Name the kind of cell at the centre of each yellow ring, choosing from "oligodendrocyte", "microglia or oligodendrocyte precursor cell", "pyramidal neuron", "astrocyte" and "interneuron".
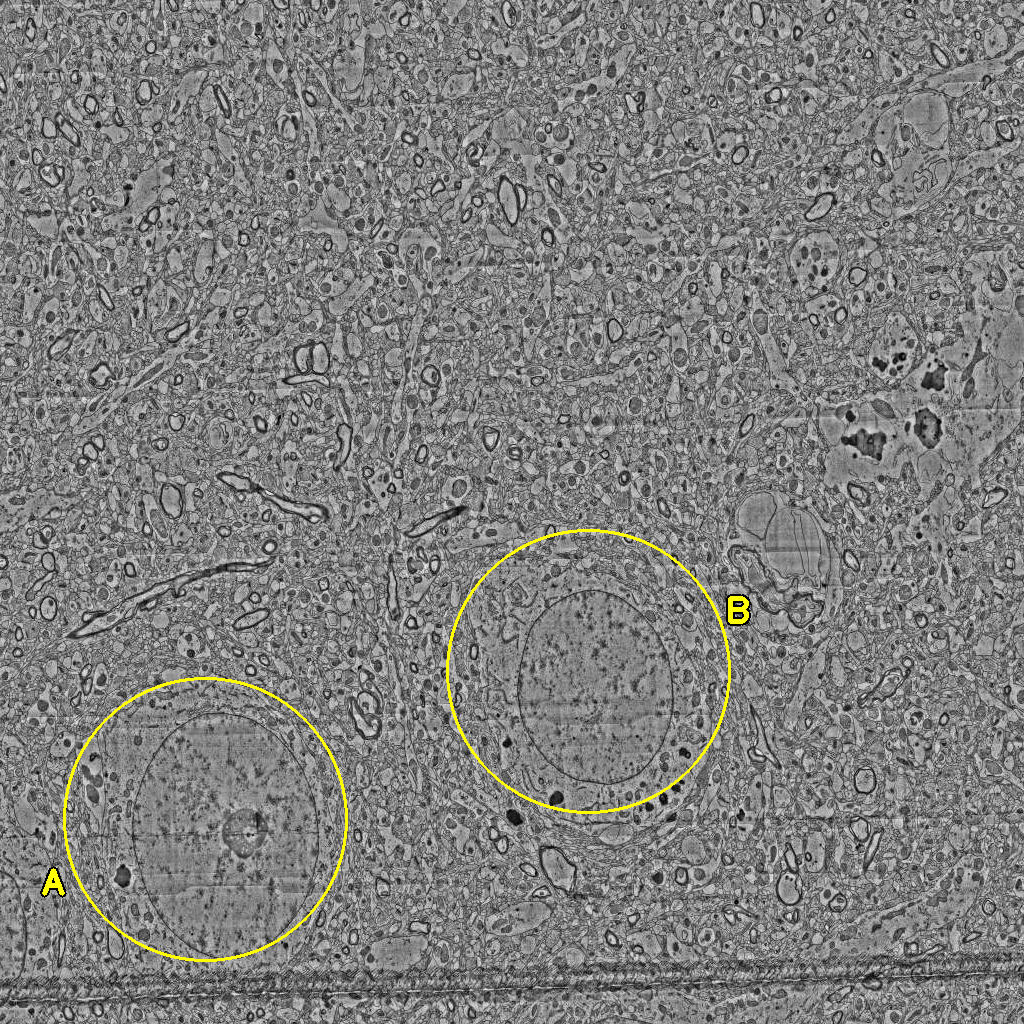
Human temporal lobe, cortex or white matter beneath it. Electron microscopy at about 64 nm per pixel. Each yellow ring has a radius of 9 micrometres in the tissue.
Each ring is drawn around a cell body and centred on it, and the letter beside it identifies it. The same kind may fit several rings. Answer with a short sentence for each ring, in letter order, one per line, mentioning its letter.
Ring A is drawn around a pyramidal neuron.
Ring B is drawn around a pyramidal neuron.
